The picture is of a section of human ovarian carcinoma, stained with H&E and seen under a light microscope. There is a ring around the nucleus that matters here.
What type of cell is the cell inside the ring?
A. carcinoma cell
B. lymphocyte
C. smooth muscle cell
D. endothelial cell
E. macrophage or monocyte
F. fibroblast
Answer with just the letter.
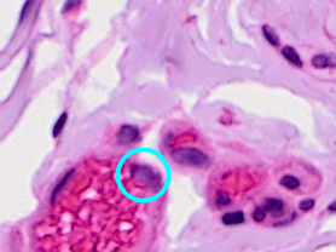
D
